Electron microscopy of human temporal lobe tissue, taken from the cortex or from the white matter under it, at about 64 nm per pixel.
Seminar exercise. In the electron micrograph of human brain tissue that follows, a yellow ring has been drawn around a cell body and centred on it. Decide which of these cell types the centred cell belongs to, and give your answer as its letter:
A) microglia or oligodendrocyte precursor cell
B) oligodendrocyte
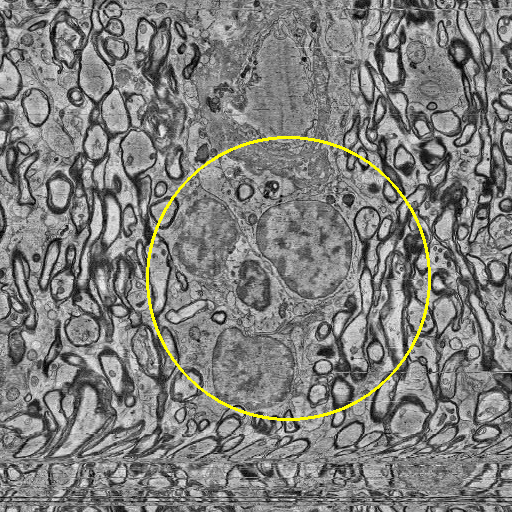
A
